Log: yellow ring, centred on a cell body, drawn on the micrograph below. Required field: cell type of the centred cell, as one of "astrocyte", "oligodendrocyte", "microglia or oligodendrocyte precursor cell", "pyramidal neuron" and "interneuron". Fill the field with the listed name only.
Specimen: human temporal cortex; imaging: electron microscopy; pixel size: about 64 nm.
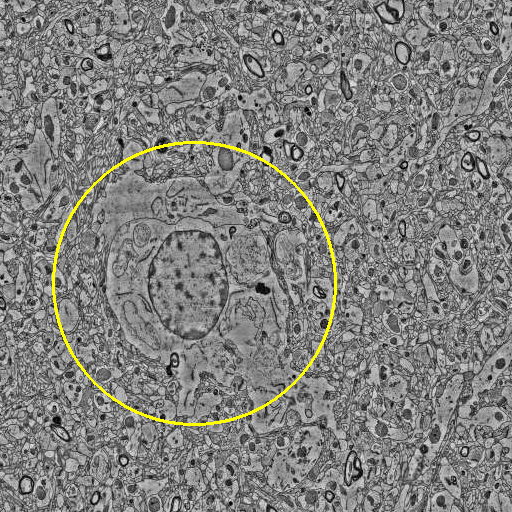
astrocyte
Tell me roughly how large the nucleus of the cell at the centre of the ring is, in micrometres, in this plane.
In this plane, approximately 7 by 5 micrometers.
